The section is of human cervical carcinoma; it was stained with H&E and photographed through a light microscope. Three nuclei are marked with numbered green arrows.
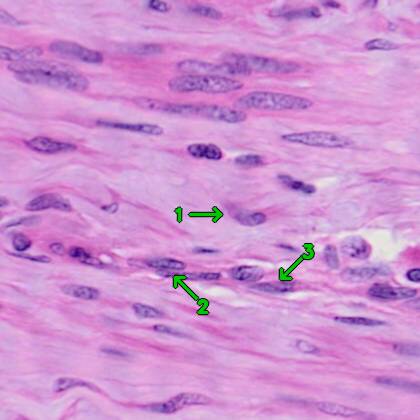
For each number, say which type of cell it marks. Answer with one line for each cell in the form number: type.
1: smooth muscle cell
2: endothelial cell
3: endothelial cell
